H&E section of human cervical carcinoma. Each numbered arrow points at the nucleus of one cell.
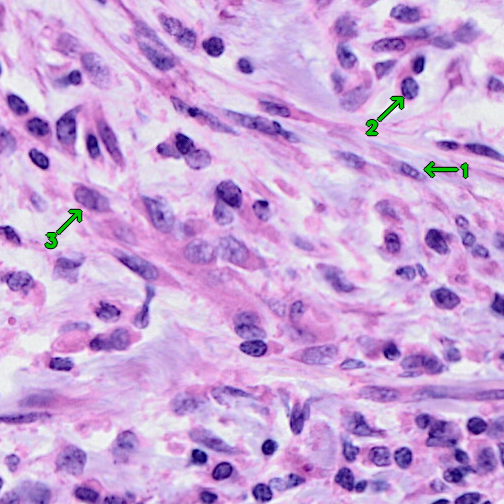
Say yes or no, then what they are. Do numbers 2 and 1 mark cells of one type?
No, cell 2 is a lymphocyte and cell 1 is a fibroblast.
